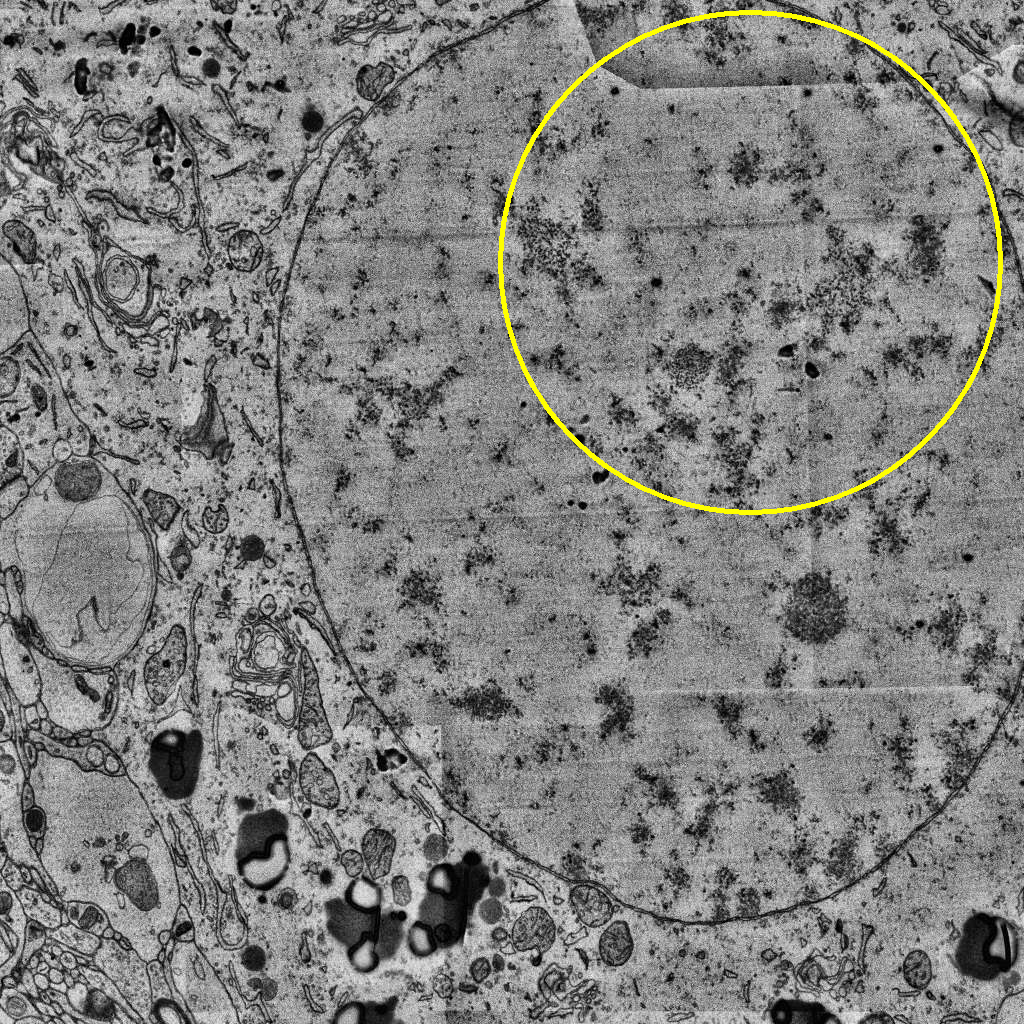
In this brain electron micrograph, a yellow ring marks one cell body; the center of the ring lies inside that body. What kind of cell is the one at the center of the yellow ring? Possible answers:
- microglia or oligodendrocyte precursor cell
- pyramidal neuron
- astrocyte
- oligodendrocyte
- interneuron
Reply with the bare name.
pyramidal neuron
